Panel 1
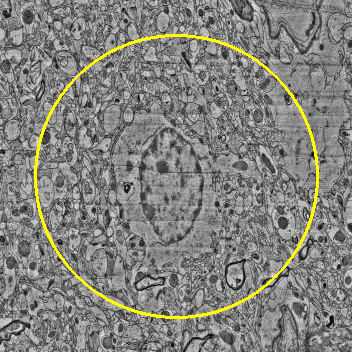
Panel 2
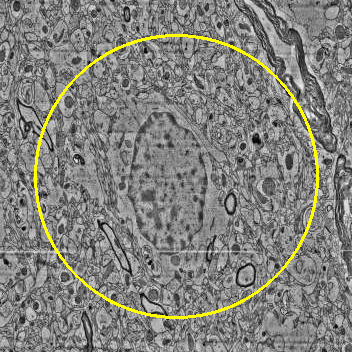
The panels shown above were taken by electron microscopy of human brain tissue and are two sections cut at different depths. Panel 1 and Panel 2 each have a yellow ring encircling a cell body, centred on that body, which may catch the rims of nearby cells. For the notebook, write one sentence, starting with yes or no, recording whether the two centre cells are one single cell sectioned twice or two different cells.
Yes, the same cell turns up inside each of the two rings.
